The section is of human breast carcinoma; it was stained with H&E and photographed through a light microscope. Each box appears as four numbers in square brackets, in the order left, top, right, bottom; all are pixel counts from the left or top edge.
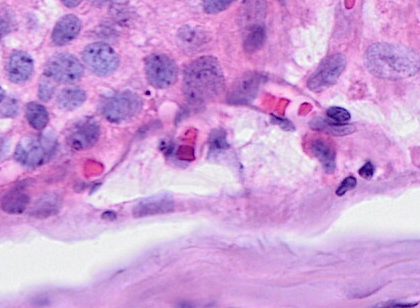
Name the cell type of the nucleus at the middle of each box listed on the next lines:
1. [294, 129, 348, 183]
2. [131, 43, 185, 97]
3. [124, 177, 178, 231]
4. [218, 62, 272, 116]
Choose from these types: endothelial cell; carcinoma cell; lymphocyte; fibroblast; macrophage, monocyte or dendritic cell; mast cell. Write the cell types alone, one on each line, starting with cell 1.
mast cell
carcinoma cell
fibroblast
endothelial cell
